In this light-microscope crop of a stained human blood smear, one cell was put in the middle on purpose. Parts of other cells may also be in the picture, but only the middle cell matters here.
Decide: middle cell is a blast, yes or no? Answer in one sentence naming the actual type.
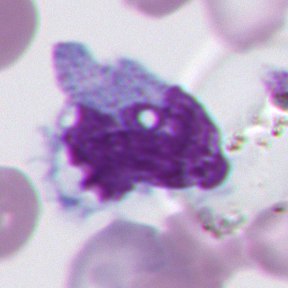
No, the centre cell counts as a monocyte, not as a blast.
